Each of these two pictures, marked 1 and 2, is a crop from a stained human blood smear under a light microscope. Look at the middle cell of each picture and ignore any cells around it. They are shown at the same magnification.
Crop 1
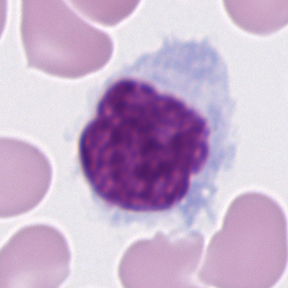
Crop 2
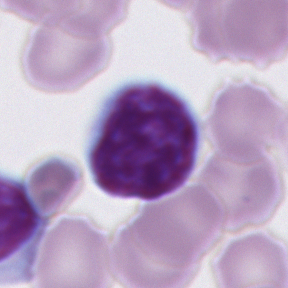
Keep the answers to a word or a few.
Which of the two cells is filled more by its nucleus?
2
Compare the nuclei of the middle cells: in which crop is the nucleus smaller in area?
2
